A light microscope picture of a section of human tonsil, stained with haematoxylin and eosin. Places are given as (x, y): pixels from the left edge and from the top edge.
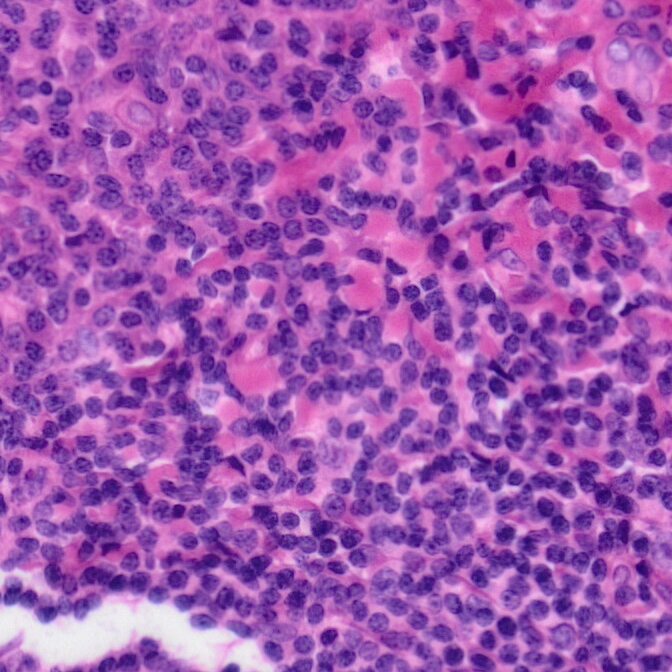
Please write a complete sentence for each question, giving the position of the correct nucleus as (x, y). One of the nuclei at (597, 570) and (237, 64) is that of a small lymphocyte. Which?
Which one belongs to a small lymphocyte? The nucleus at (597, 570) does.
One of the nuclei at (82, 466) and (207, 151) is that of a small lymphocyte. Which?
The nucleus at (82, 466) is attributed to a small lymphocyte, unlike the other nucleus.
